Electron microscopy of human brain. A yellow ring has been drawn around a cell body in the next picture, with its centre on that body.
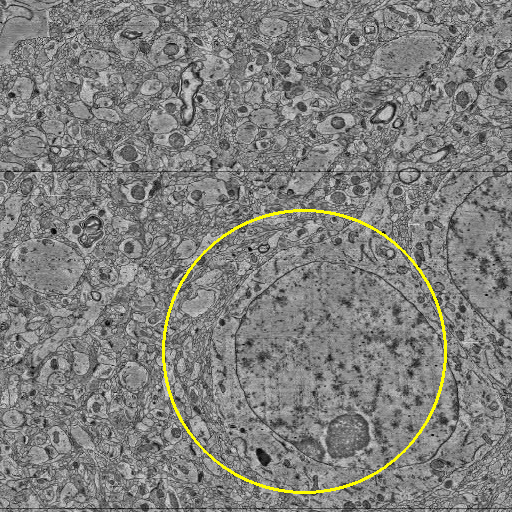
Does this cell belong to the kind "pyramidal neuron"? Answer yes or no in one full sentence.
Yes, the ringed cell in this picture, sitting at the ring's centre, is of that kind.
